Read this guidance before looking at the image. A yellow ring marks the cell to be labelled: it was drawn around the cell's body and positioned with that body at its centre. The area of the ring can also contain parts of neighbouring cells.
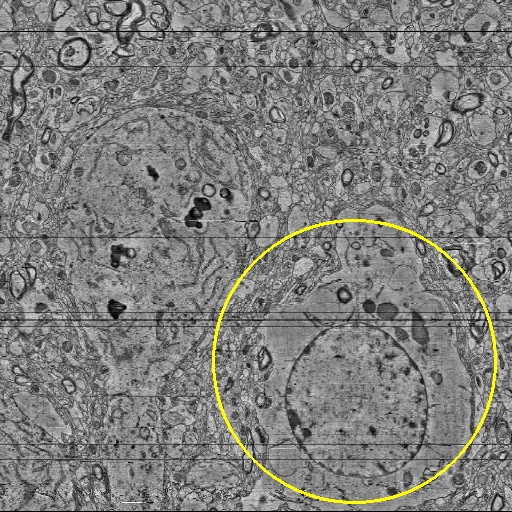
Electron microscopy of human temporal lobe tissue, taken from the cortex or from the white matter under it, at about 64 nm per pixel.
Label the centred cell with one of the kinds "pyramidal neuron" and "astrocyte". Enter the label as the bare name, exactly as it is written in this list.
astrocyte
